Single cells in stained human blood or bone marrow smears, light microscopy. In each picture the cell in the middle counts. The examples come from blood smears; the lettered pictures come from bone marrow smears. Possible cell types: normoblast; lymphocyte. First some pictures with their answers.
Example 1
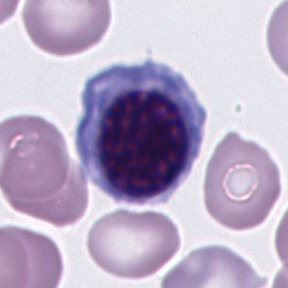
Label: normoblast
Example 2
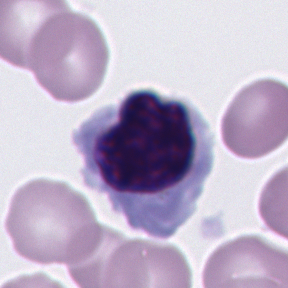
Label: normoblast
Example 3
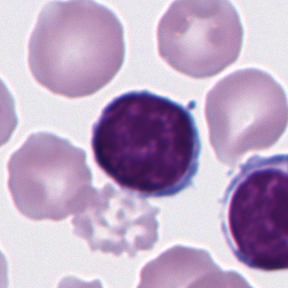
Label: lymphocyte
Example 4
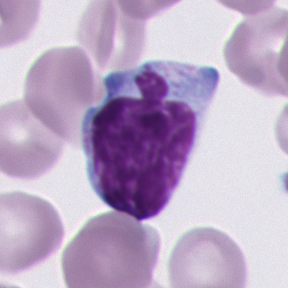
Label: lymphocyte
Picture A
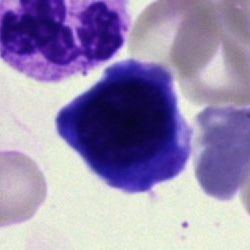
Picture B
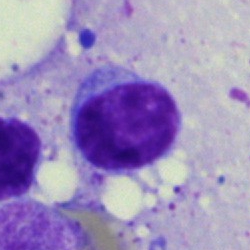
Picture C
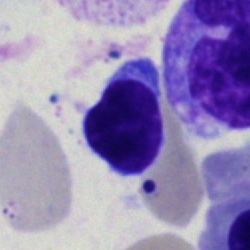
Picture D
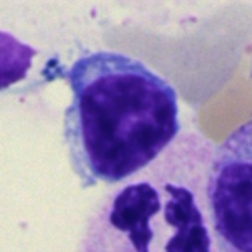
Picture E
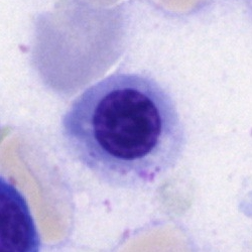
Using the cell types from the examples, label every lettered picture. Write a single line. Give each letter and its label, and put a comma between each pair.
A normoblast, B lymphocyte, C lymphocyte, D lymphocyte, E normoblast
